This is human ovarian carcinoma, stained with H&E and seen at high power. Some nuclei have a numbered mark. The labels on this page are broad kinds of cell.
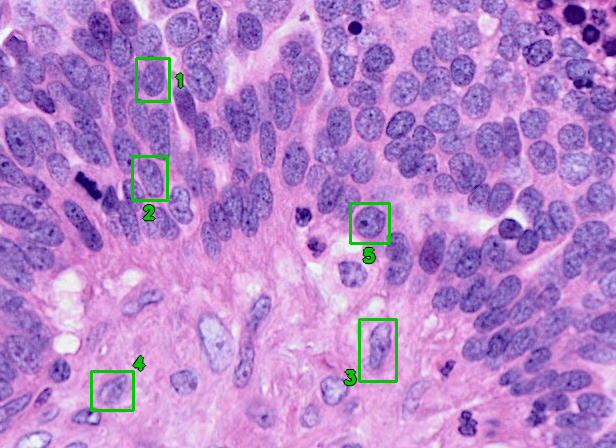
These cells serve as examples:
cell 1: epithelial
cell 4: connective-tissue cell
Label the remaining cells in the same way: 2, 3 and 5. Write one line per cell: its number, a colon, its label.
2: epithelial
3: connective-tissue cell
5: epithelial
